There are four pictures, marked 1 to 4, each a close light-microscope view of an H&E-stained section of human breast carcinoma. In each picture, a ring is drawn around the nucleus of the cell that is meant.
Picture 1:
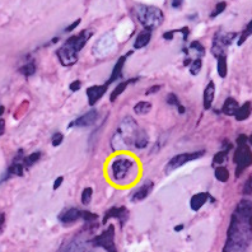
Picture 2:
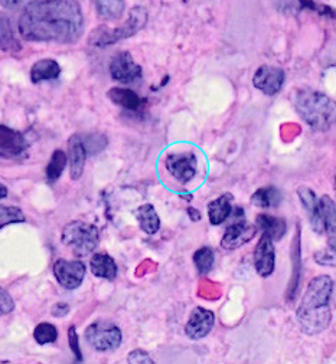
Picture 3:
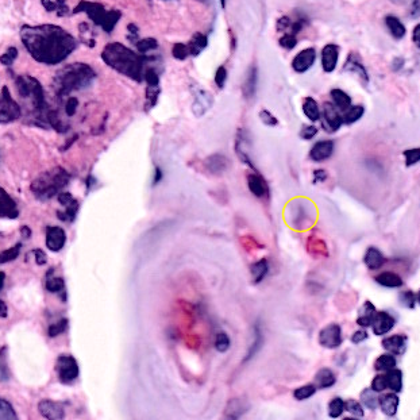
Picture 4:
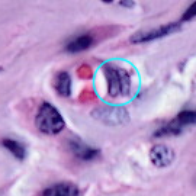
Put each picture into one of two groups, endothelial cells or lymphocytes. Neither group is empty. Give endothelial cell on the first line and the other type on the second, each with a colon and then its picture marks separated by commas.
endothelial cell: 1, 3, 4
lymphocyte: 2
